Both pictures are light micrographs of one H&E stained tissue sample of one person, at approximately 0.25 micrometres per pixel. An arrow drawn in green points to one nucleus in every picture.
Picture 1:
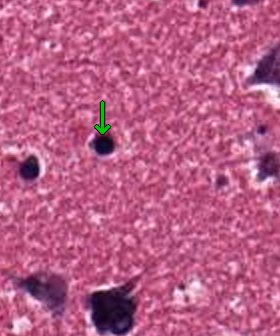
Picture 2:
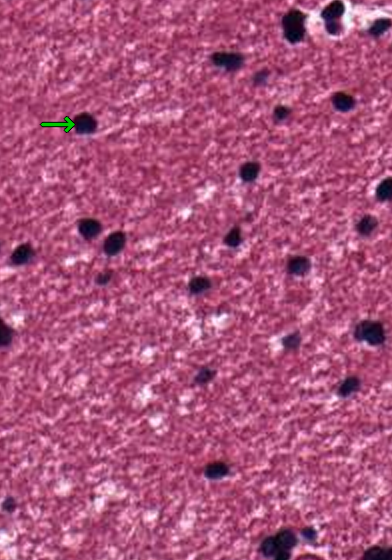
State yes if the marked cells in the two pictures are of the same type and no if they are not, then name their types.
Yes, both are oligodendrocytes.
